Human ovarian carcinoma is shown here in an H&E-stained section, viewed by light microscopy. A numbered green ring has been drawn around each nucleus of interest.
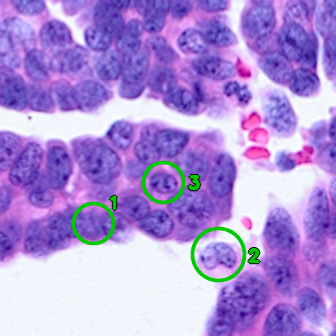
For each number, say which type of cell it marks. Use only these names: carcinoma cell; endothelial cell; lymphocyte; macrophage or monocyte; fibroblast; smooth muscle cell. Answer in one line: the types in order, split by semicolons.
carcinoma cell; macrophage or monocyte; macrophage or monocyte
